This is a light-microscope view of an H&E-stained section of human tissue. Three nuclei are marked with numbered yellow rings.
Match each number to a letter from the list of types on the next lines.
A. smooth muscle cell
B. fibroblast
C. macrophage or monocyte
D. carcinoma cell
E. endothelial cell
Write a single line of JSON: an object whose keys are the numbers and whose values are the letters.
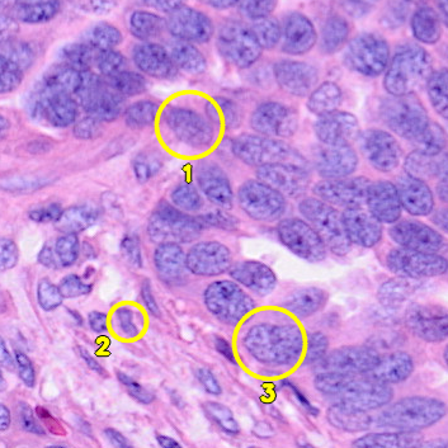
{"1": "D", "2": "B", "3": "D"}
